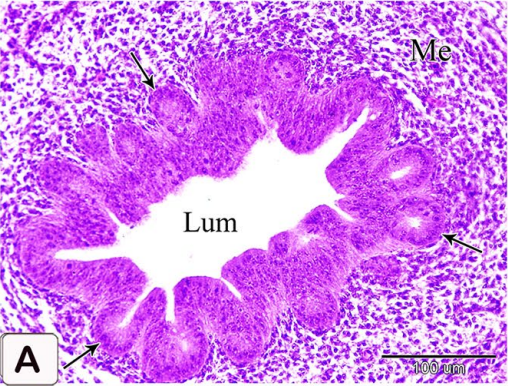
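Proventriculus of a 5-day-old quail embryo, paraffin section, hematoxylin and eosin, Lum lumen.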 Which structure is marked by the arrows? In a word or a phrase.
Gland primordium.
